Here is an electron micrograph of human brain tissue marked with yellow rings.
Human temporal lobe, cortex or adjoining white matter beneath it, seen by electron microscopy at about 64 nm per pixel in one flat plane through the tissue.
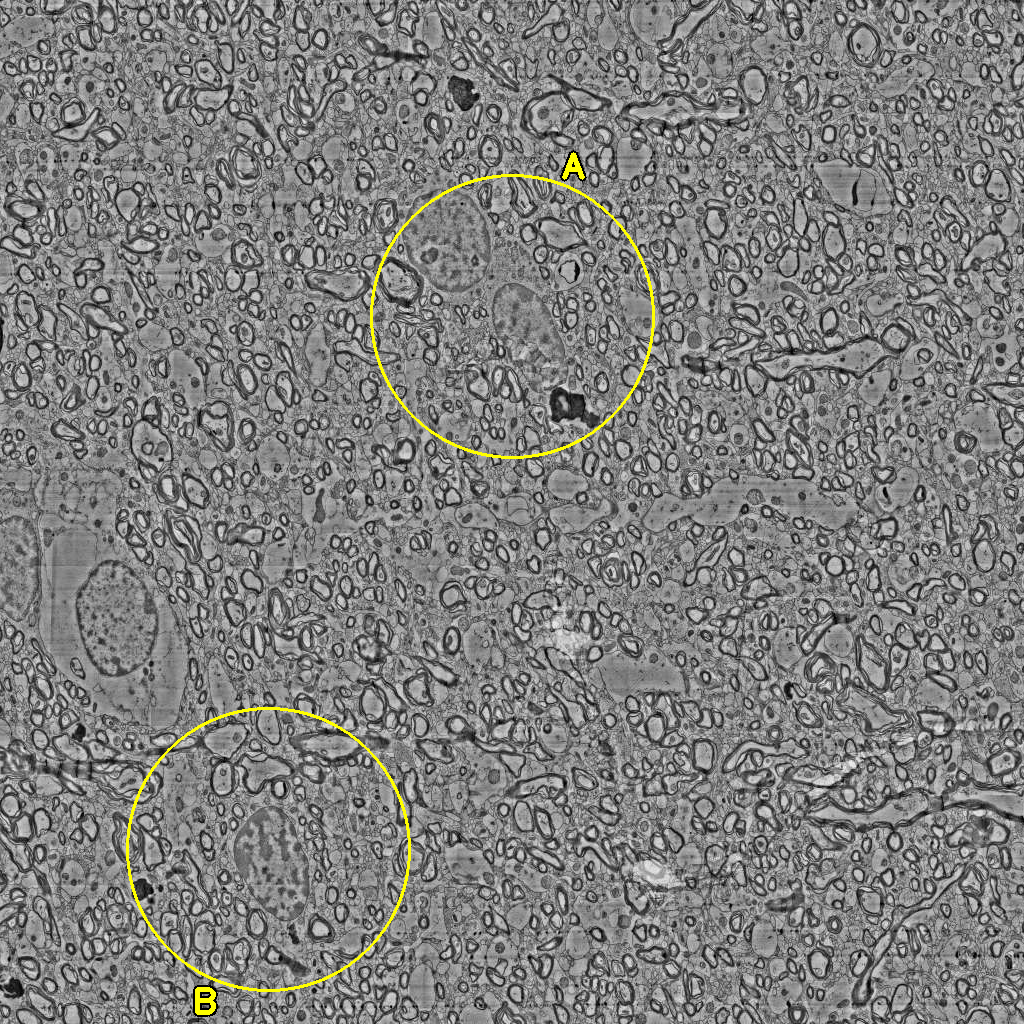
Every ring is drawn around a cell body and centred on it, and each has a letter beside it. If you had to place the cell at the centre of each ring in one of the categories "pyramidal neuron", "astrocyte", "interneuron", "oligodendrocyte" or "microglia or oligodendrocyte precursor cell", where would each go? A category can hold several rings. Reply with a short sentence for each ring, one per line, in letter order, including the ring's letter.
The centre of ring A holds an oligodendrocyte.
The centre of ring B holds a microglial cell or oligodendrocyte precursor cell.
